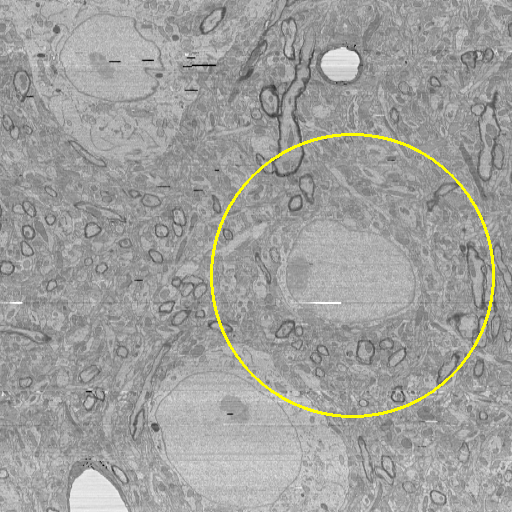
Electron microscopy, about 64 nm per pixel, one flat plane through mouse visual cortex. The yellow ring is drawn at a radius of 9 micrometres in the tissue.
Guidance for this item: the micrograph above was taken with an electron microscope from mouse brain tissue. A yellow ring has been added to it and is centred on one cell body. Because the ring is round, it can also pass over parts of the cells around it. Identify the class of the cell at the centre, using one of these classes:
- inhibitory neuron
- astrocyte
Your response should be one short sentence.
The ring surrounds the body of an astrocyte.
